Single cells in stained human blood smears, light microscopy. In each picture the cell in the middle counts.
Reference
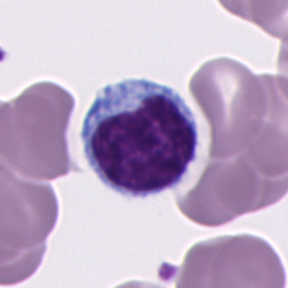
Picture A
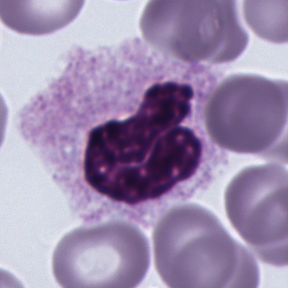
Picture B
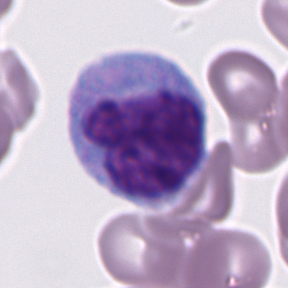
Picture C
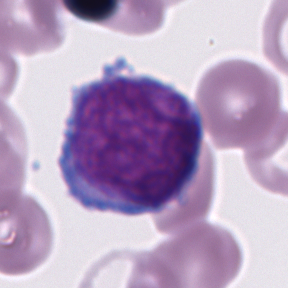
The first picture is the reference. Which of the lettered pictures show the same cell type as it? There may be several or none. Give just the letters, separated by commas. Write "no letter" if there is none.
no letter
